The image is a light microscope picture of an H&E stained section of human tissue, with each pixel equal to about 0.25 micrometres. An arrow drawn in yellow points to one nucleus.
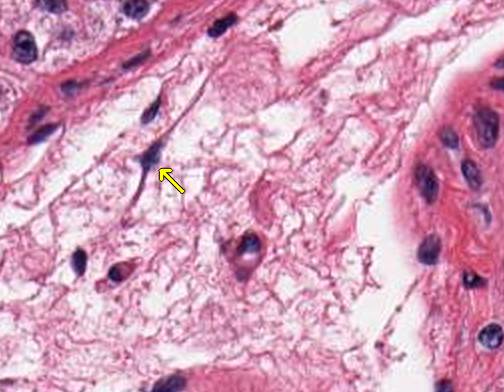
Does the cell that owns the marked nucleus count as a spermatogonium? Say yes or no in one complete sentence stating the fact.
No, the marked nucleus, rather than belonging to a spermatogonium, belongs to a supporting cell.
